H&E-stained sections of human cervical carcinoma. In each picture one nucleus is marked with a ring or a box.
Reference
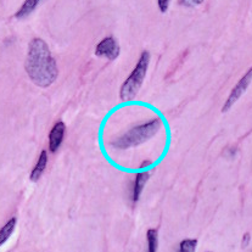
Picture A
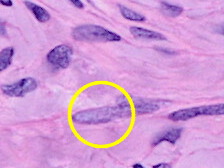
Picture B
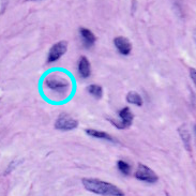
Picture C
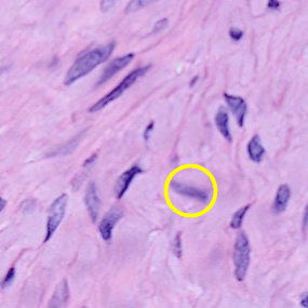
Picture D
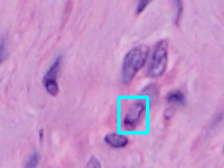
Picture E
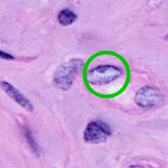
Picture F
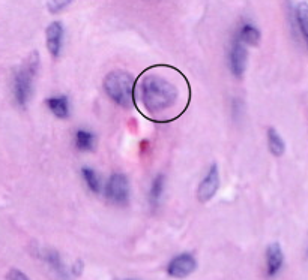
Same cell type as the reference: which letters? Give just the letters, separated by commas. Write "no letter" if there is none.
B, C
